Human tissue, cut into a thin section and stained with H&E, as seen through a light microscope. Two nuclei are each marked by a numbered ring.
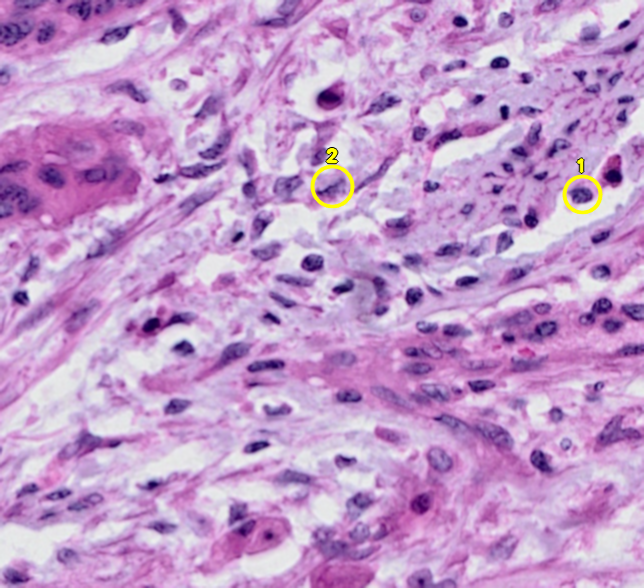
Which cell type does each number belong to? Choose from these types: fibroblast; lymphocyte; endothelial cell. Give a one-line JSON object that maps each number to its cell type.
{"1": "lymphocyte", "2": "fibroblast"}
